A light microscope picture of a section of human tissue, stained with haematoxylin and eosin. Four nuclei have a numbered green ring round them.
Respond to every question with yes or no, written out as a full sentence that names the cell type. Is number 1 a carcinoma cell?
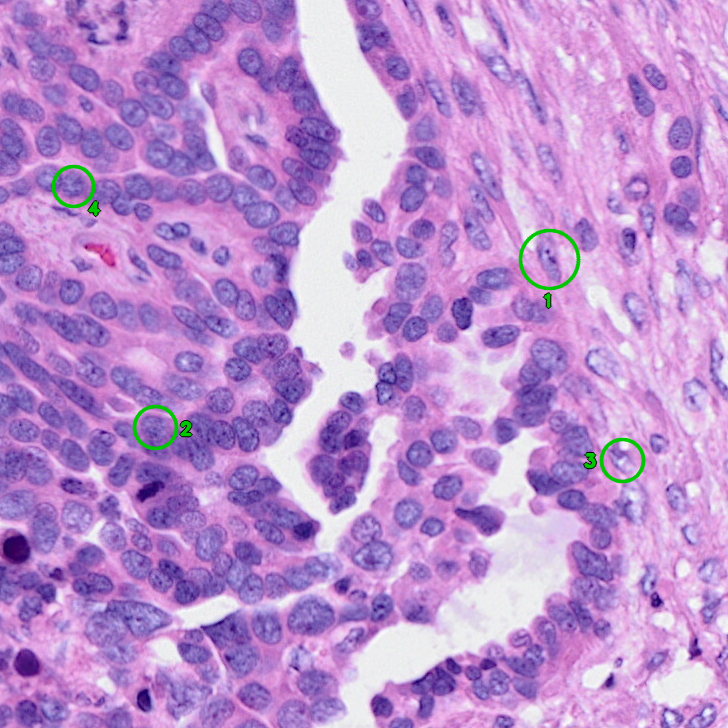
No, the cell that carries number 1 is a fibroblast, not a carcinoma cell.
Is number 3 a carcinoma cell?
No, it is a fibroblast, rather than a carcinoma cell, that carries number 3.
